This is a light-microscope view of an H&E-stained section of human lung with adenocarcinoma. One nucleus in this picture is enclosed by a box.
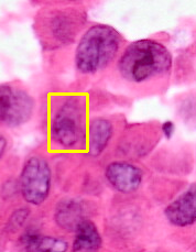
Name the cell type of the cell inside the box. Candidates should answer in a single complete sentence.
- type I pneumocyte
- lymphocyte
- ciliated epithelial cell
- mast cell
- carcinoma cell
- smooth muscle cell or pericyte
In this field of tissue, the cell inside the box is a carcinoma cell.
